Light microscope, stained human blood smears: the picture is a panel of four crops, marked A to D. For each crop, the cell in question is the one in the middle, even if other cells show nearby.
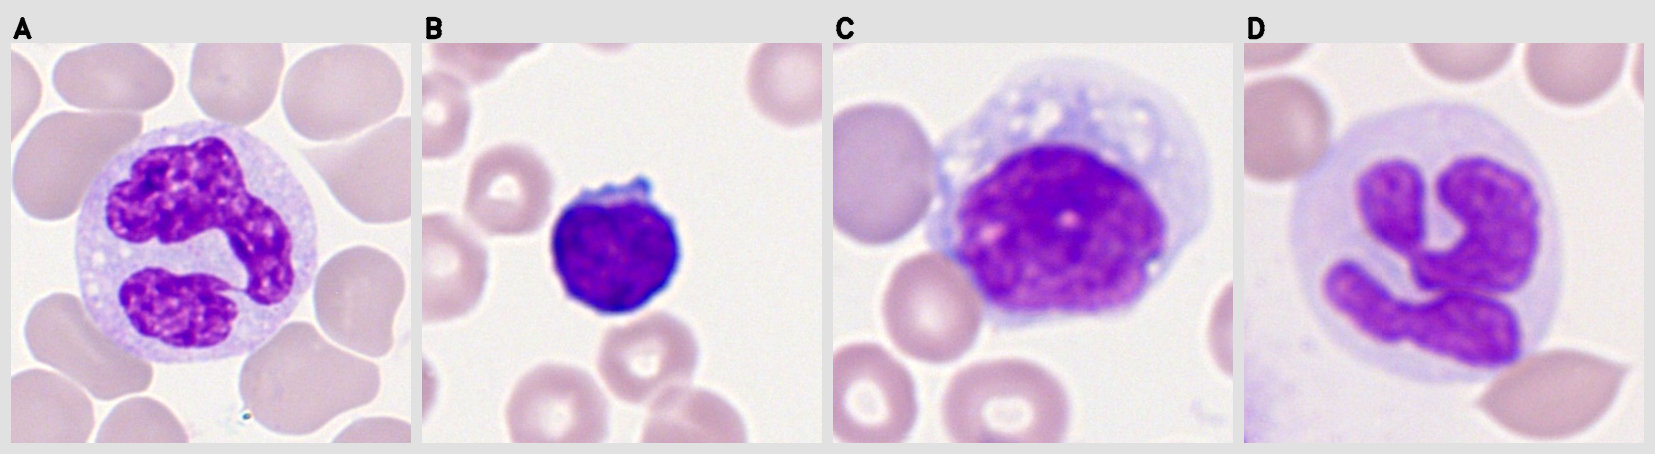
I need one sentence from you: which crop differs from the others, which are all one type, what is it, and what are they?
Crop B is different, showing a lymphocyte, whereas all the others show monocytes.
